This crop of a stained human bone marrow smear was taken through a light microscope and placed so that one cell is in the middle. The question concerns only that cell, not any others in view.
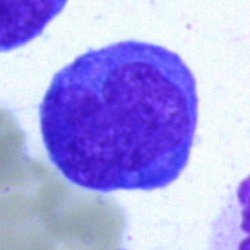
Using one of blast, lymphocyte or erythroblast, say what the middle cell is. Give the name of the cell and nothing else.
blast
